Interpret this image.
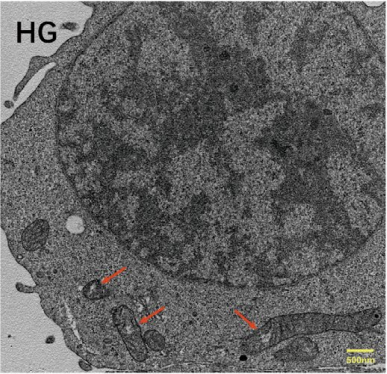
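A large nucleus with patchy, dense chromatin fills the upper part of the cell. A narrow band of cytoplasm lies beneath the nucleus, and several mitochondria lie in it. Some are oval and one is elongated. The arrowed mitochondria contain pale, clear areas where the inner folds look sparse or broken. The cell edge and a small vesicle can be seen at the left.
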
